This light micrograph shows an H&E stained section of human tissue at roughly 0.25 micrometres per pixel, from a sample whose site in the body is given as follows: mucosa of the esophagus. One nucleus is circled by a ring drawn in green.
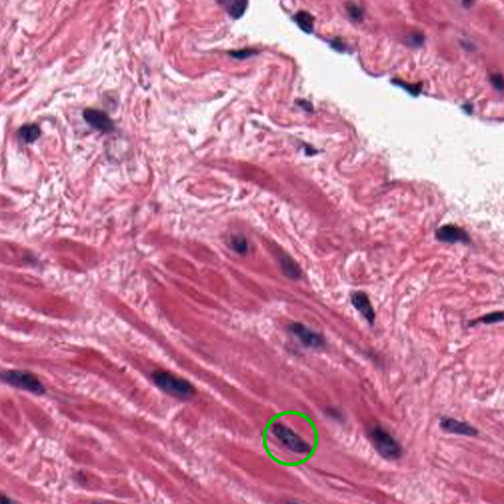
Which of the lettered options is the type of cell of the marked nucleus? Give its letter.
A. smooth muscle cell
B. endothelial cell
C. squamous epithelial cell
A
